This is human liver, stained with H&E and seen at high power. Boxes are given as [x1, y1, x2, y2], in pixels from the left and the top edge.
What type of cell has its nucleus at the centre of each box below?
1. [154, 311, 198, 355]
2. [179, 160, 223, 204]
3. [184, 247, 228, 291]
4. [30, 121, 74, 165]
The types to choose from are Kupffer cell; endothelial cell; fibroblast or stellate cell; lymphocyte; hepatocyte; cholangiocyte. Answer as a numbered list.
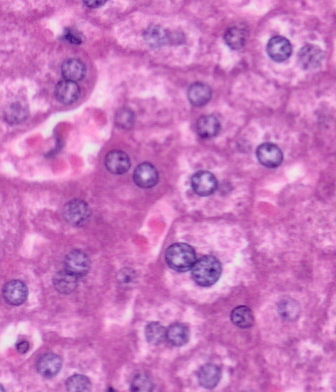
1. hepatocyte
2. hepatocyte
3. hepatocyte
4. Kupffer cell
